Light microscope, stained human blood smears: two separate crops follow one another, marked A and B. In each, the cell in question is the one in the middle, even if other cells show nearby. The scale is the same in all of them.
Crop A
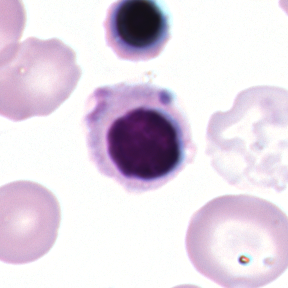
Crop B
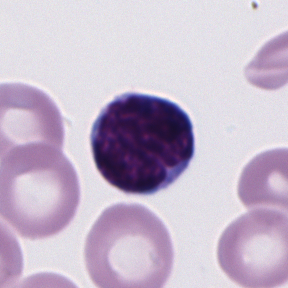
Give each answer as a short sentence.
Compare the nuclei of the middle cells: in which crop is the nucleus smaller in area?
Crop A shows the smaller nucleus, since that in crop B covers about 2 times as much area.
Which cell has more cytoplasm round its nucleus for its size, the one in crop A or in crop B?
It is the cell in crop A that is filled less by its nucleus.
